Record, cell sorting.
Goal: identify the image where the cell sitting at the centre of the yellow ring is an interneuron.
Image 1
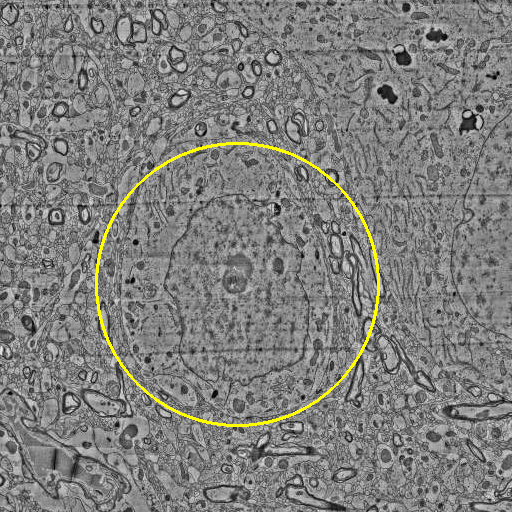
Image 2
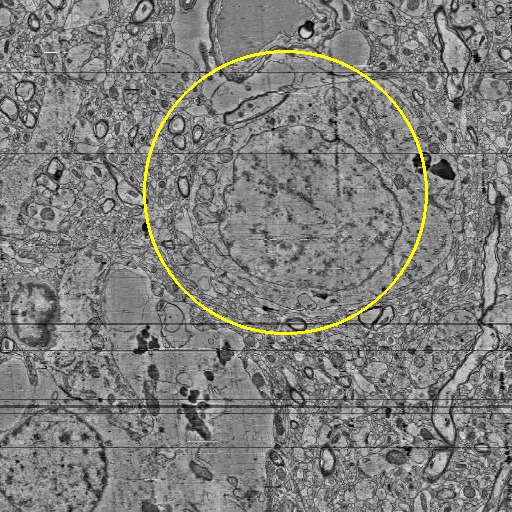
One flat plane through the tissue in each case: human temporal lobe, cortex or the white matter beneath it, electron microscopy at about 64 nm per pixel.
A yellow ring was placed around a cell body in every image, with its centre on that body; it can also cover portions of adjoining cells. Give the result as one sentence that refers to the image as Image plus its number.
Image 1 shows the requested cell sitting right at the centre of its ring.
